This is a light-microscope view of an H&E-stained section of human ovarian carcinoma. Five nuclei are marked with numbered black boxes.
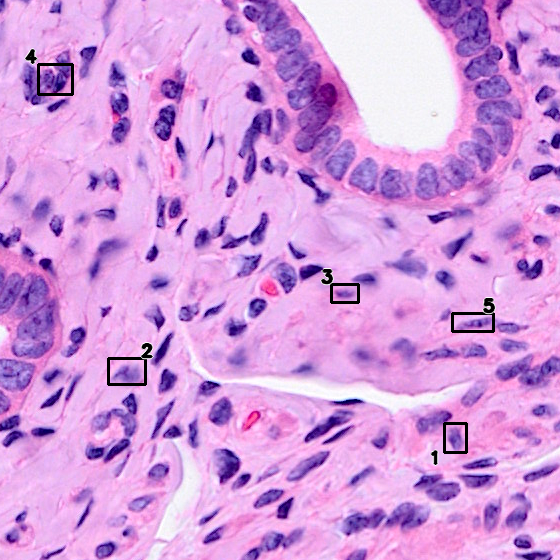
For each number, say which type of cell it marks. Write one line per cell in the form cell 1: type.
cell 1: smooth muscle cell
cell 2: fibroblast
cell 3: smooth muscle cell
cell 4: endothelial cell
cell 5: smooth muscle cell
